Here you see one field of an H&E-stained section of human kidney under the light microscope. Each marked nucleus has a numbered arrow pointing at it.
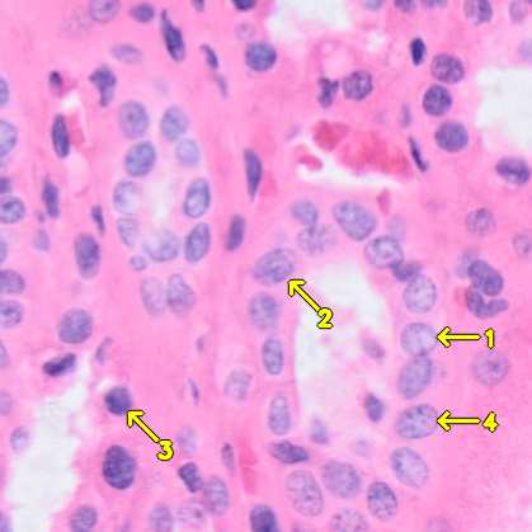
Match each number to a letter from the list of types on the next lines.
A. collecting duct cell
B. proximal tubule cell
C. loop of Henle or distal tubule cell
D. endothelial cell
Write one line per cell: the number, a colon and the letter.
1: A
2: A
3: C
4: A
